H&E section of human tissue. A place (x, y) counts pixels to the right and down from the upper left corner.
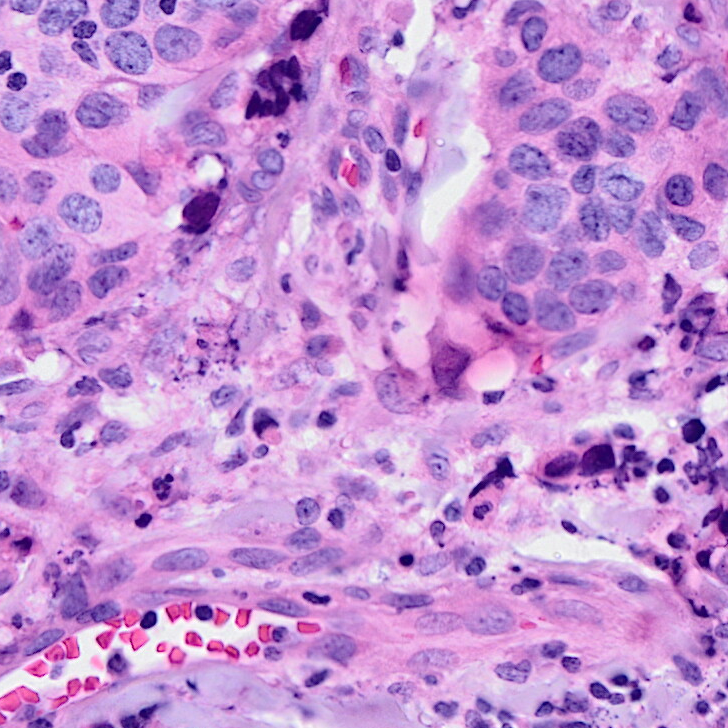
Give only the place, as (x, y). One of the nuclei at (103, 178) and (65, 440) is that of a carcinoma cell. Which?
(103, 178)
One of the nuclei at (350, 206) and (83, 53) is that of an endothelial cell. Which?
(350, 206)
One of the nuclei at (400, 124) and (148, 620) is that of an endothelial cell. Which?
(400, 124)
